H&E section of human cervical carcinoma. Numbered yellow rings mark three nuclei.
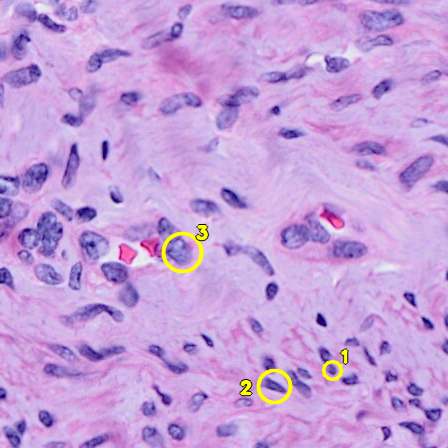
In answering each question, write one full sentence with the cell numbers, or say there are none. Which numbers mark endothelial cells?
Only the cell numbered 3 is an endothelial cell, and the others are something else.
